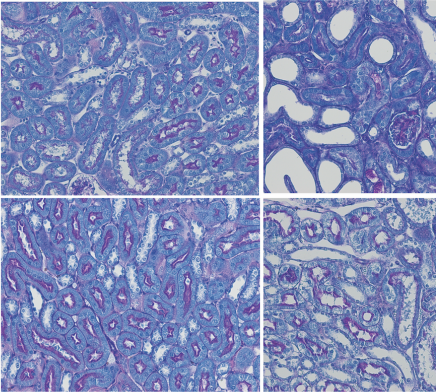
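In the upper right field many tubules are markedly dilated with empty white lumens and thin epithelium that has lost most of its magenta border, with a glomerulus among them. In the lower right field the tubules are less dilated and irregular in outline, with some magenta border retained.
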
